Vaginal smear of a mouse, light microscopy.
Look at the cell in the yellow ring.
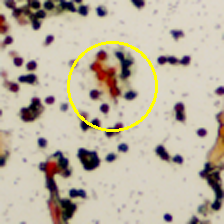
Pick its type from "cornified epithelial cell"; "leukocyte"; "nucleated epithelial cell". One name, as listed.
cornified epithelial cell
